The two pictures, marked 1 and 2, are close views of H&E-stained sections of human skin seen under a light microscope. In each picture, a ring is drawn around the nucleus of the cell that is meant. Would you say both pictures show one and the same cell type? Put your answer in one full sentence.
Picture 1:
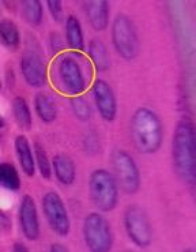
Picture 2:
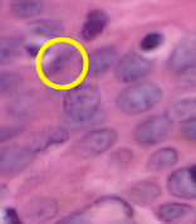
No, they differ: the cell is a suprabasal keratinocyte in picture 1 and a basal keratinocyte in picture 2.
